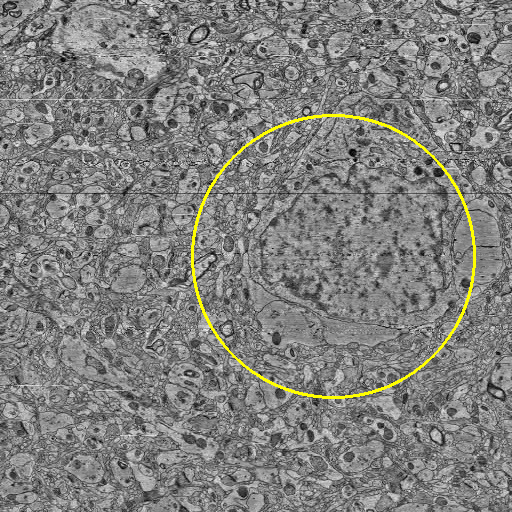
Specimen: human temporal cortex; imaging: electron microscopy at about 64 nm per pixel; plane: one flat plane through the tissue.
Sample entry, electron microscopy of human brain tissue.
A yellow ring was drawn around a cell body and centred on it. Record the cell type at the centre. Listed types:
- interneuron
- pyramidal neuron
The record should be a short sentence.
The cell at the ring's centre is an interneuron.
